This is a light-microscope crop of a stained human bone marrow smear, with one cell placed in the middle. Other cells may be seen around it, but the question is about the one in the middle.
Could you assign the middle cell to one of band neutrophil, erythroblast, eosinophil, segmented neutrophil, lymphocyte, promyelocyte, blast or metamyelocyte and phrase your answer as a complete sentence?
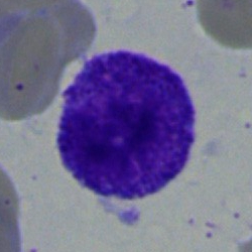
The cell in the middle of the field of view is a promyelocyte.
